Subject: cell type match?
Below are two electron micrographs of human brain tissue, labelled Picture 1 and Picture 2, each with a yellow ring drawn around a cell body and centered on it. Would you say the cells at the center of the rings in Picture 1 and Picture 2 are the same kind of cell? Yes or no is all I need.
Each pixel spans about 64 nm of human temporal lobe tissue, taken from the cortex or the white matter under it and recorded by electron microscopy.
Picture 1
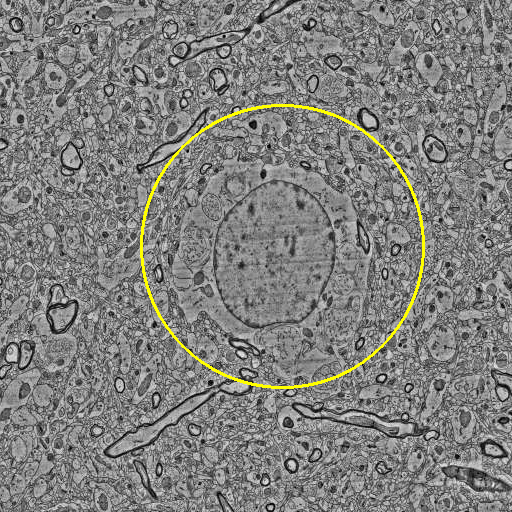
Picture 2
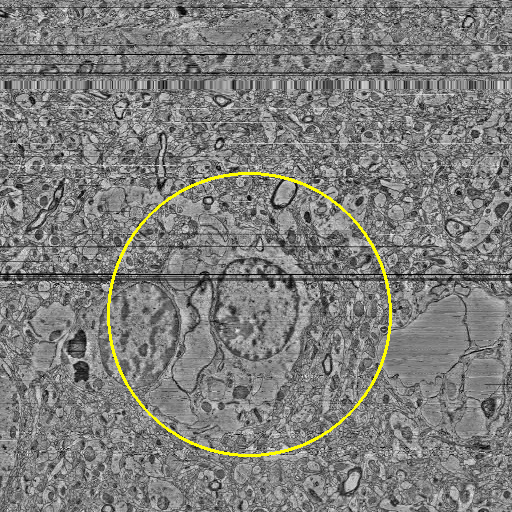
yes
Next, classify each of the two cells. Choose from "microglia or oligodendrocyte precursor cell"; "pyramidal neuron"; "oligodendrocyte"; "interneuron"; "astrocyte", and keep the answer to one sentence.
The second cell is an astrocyte, just as the first is.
